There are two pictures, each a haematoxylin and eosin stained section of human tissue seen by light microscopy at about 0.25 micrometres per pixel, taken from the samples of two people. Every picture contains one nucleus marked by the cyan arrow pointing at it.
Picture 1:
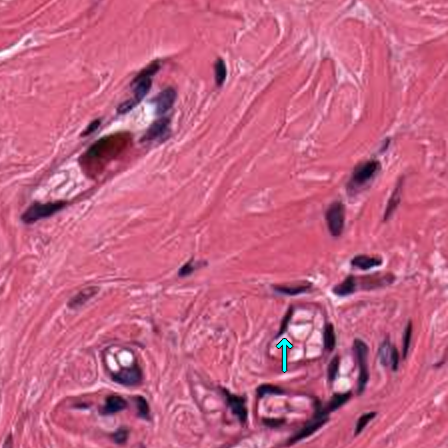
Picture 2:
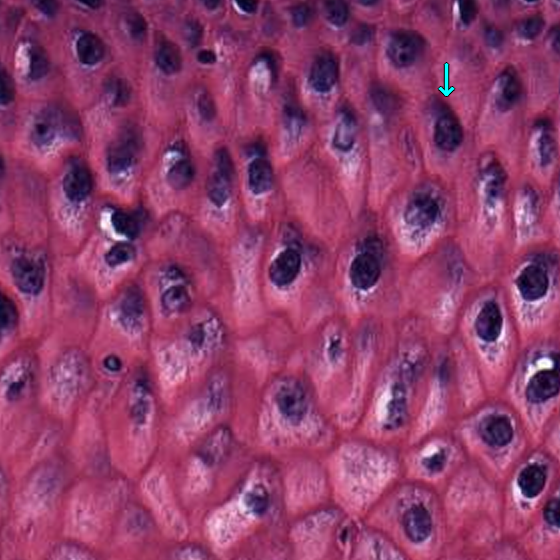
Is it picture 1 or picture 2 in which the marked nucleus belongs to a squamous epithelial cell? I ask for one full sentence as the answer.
The marked nucleus seen in picture 2 is that of a squamous epithelial cell.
